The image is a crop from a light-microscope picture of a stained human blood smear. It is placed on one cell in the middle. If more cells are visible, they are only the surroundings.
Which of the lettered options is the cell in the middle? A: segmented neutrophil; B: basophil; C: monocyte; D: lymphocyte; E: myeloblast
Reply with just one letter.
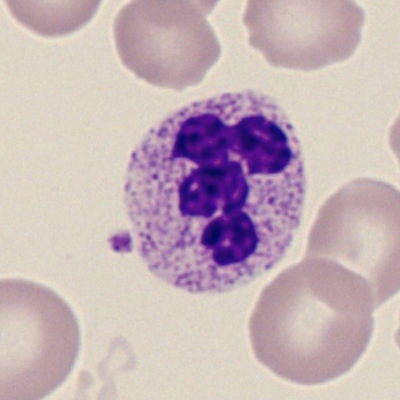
A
